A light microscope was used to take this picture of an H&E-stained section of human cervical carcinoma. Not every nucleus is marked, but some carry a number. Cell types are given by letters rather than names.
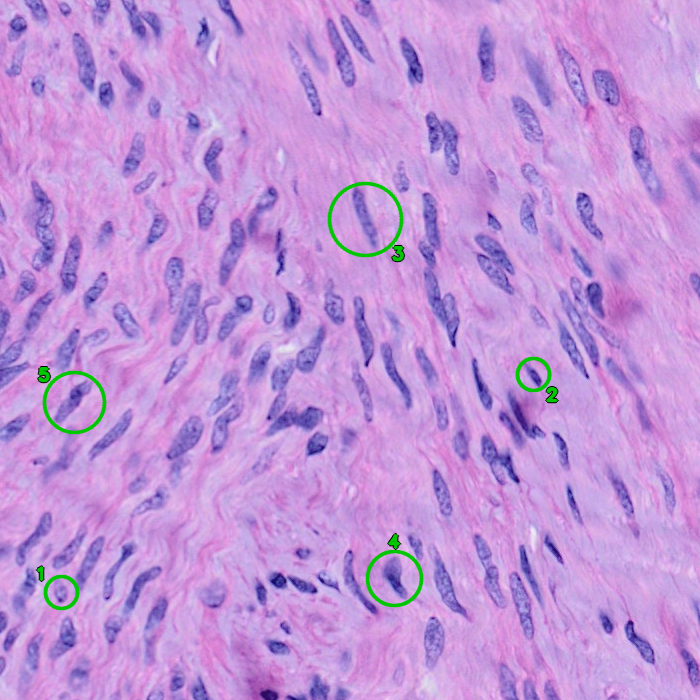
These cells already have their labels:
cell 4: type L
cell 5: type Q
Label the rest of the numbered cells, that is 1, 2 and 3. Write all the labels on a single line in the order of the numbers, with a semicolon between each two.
type Q; type L; type L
